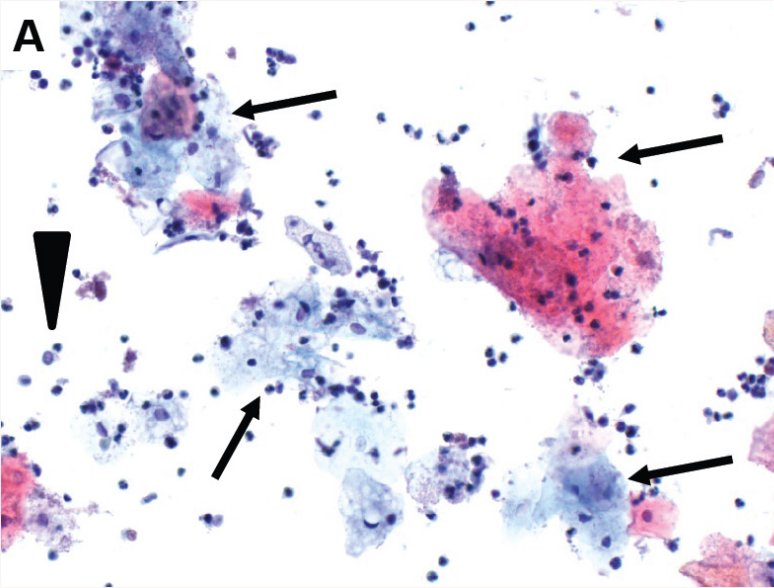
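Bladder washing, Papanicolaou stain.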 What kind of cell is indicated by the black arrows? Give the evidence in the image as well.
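Large, flat, polygonal cells with abundant cytoplasm. Cytoplasm stains either blue-green or orange-pink. Some of these cells show no clear nucleus of their own.
Squamous cells.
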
